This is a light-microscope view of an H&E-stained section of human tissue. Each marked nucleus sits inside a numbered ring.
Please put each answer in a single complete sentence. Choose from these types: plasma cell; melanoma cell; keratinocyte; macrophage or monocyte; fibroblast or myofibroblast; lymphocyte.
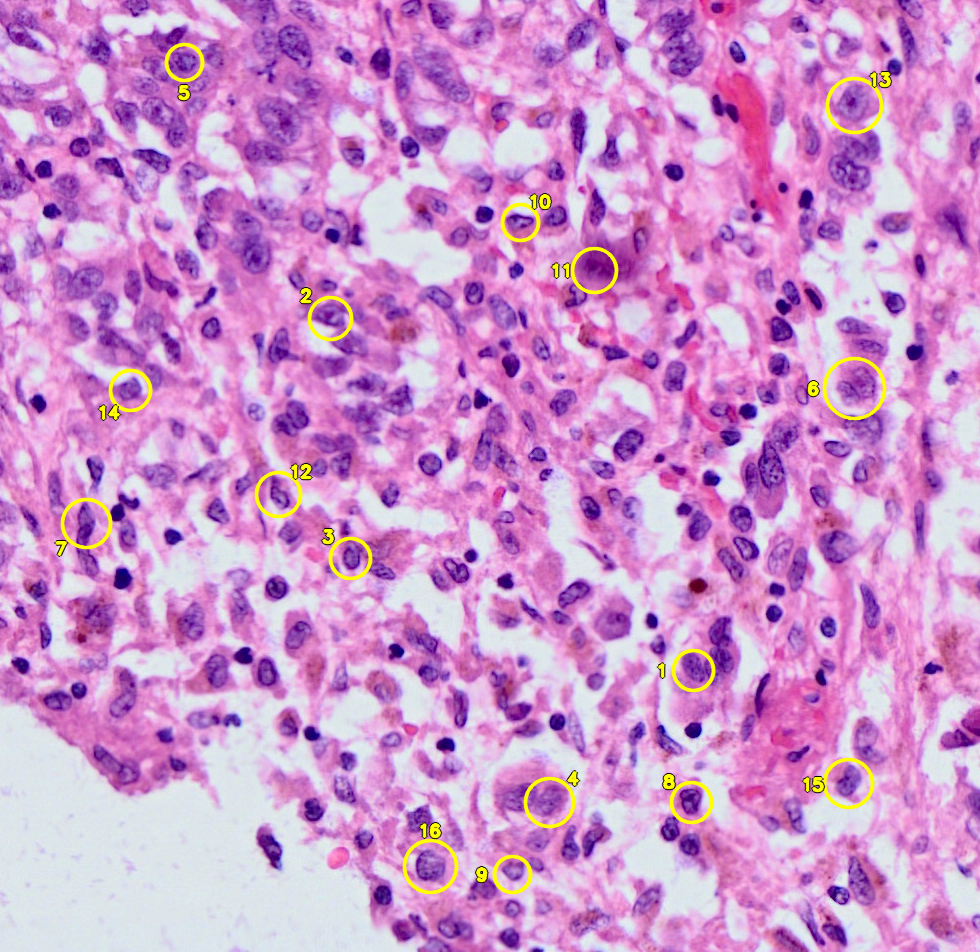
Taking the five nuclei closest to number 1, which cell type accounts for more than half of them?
Most of the five nuclei nearest to number 1 are those of melanoma cells.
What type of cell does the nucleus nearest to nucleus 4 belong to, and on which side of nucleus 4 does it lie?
The closest nucleus belongs to a melanoma cell and sits to the left of nucleus 4.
